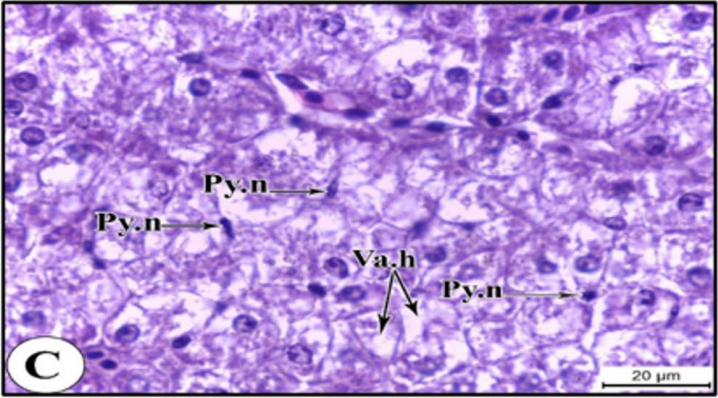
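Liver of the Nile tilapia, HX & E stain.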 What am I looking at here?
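Many hepatocytes contain large clear empty spaces that leave their cytoplasm pale and vacuolated while the cell outlines persist. Scattered among round normal-looking nuclei are small, shrunken, densely dark nuclei. A vessel with elongated nuclei in its wall crosses the upper part of the field.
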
